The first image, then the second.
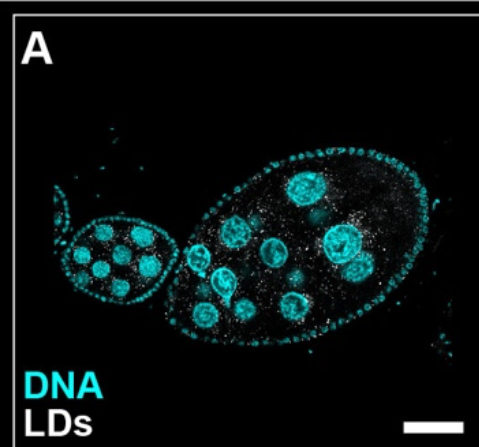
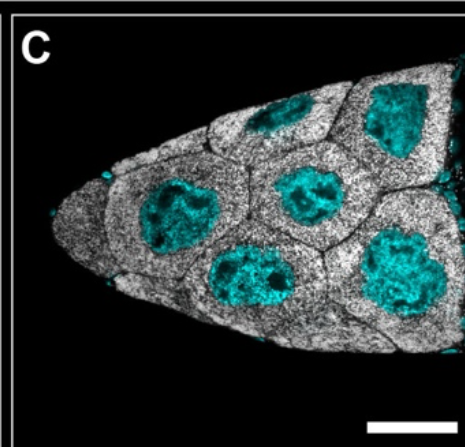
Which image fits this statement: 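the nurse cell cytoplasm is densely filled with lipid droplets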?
The second image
